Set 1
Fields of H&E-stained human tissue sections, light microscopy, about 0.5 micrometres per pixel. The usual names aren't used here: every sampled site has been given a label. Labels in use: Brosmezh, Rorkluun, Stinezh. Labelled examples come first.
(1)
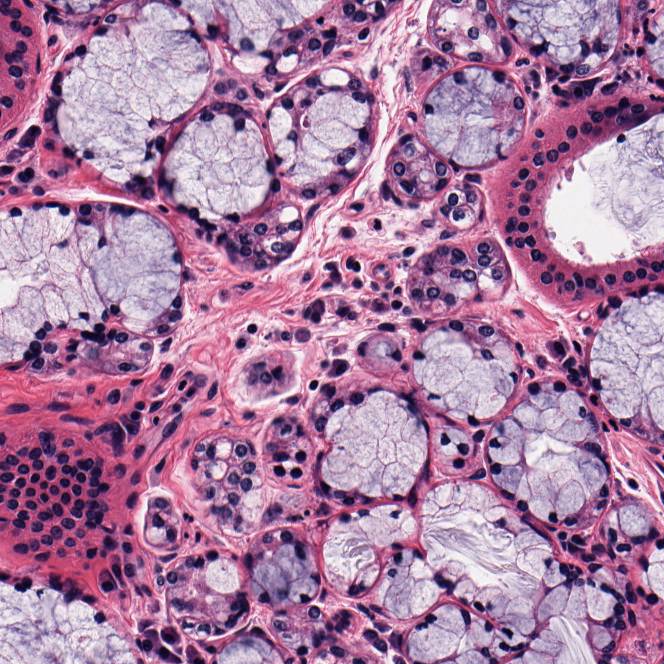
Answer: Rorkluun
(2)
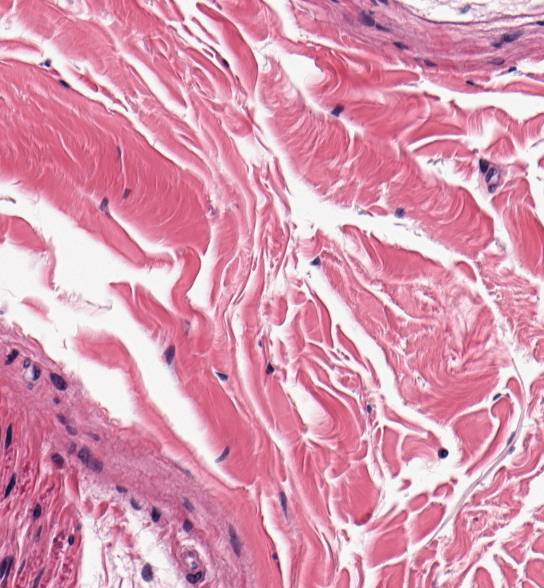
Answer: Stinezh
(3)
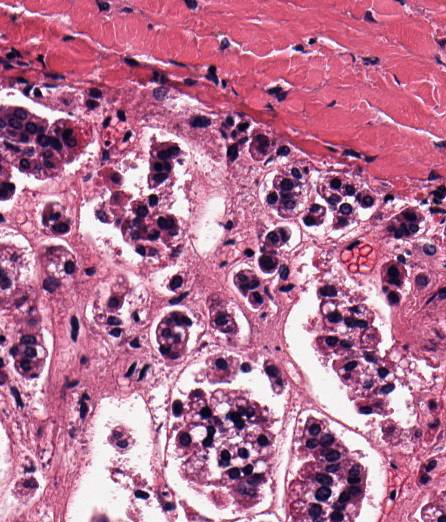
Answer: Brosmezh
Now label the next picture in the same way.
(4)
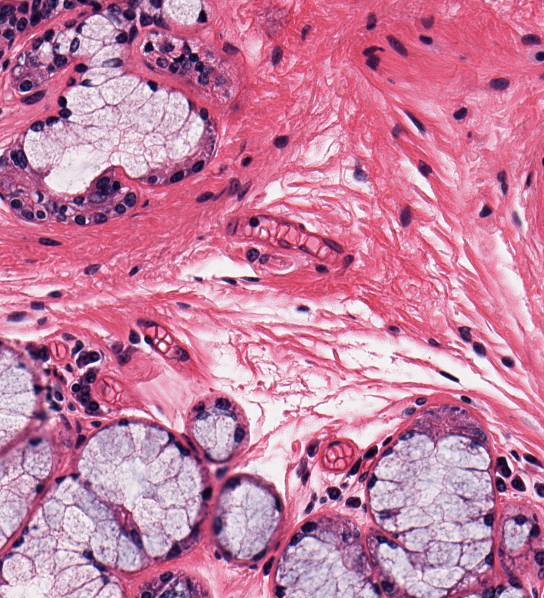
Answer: Rorkluun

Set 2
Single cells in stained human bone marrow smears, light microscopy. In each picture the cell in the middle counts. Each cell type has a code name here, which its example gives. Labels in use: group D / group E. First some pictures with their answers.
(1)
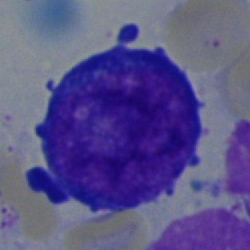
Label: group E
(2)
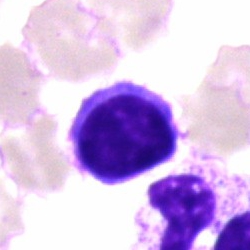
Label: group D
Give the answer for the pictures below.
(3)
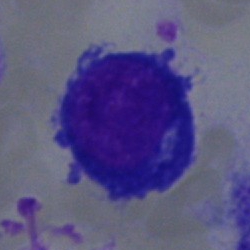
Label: group E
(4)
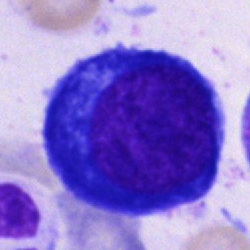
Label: group E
